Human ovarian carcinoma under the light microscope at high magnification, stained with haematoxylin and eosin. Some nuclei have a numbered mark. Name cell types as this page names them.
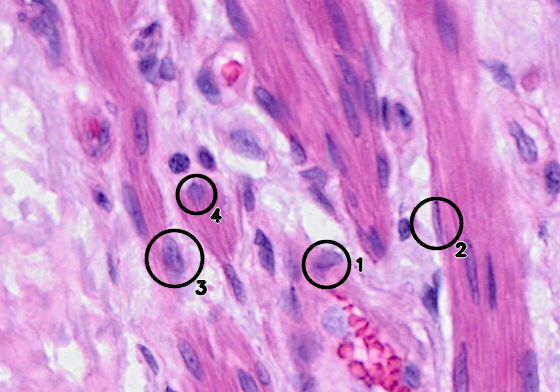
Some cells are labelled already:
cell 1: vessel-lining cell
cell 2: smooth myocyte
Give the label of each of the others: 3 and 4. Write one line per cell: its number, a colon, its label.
3: smooth myocyte
4: smooth myocyte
